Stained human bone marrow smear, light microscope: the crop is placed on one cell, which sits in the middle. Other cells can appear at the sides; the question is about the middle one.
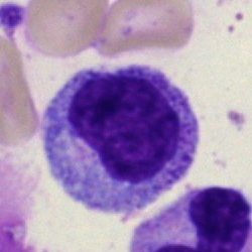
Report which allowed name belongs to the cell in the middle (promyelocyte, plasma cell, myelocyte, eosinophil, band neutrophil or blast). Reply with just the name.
myelocyte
